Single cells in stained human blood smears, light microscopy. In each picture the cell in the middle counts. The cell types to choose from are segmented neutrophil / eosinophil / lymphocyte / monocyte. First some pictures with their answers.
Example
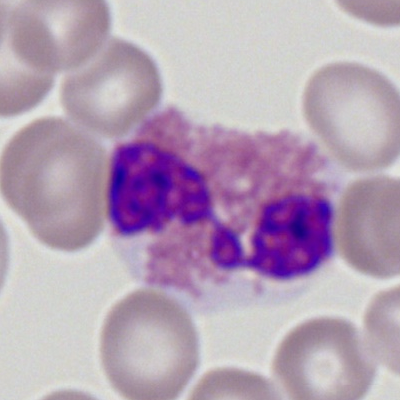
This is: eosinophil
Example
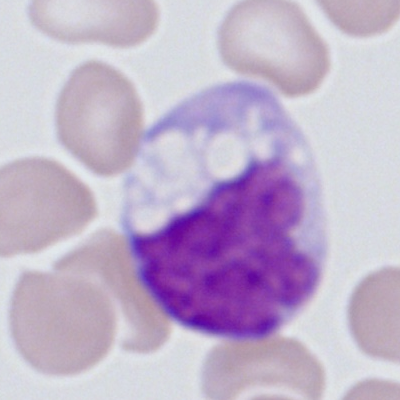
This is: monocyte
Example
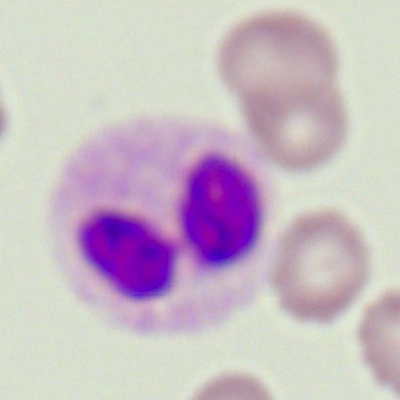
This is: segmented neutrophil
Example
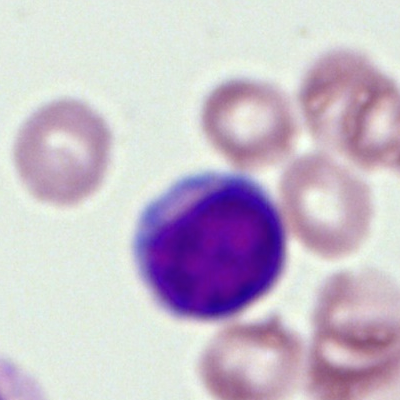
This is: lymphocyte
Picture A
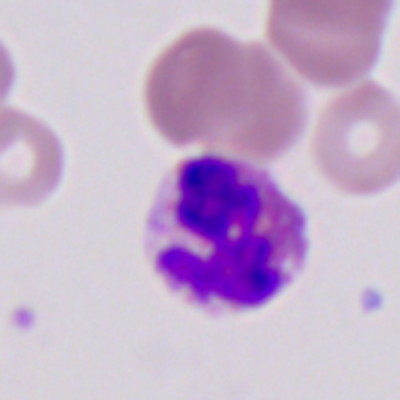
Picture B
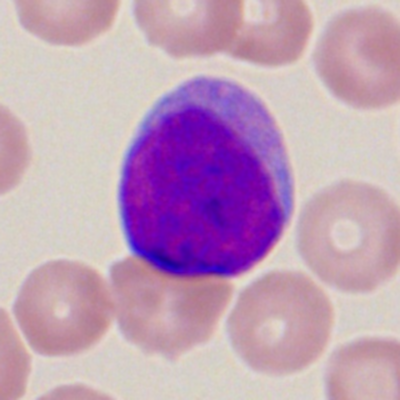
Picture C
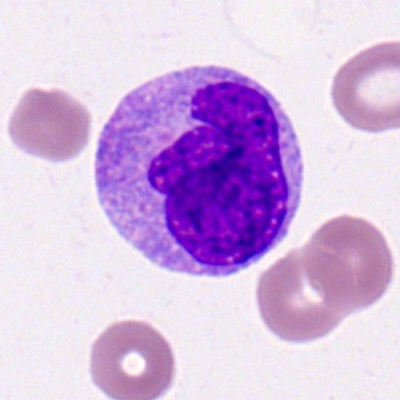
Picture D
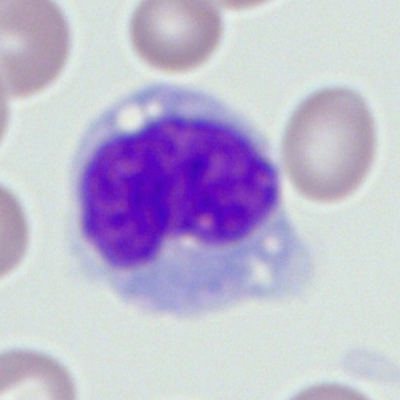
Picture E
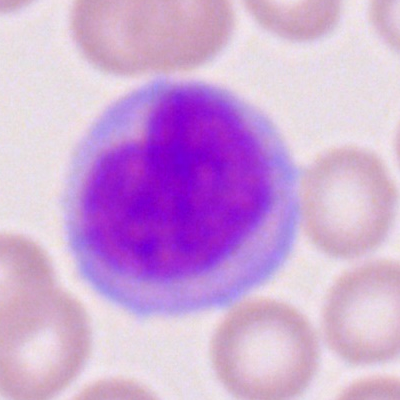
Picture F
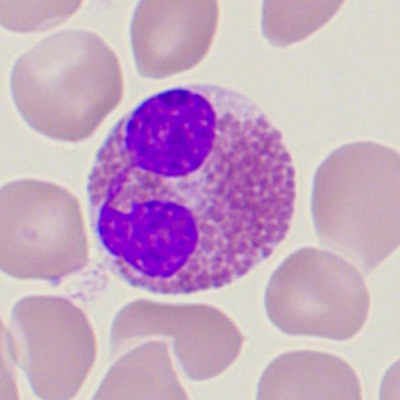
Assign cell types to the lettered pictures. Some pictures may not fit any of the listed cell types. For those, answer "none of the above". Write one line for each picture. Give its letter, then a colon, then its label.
A: eosinophil
B: none of the above
C: monocyte
D: monocyte
E: monocyte
F: eosinophil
